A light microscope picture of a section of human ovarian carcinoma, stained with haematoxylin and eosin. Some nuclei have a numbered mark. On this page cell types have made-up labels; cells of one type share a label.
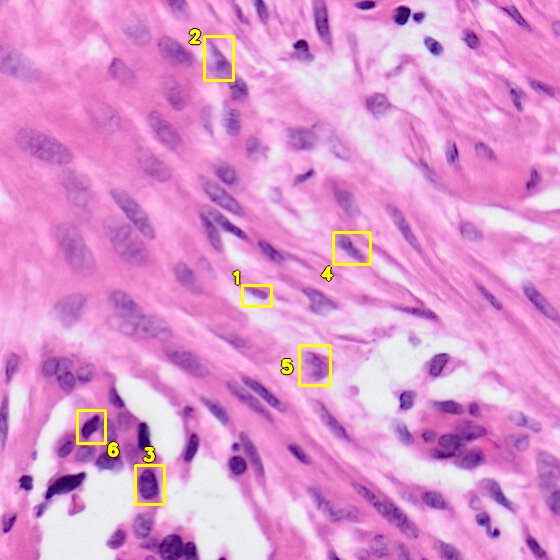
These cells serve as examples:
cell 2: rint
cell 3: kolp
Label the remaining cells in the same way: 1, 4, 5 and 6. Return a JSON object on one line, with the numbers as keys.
{"1": "rint", "4": "rint", "5": "rint", "6": "kolp"}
